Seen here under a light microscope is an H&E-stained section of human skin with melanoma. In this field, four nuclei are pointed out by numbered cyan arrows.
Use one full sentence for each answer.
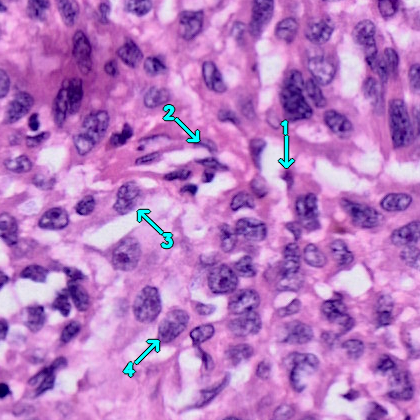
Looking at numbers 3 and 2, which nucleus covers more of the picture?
Nucleus 3 is the larger one, covering about 4 times the area of nucleus 2.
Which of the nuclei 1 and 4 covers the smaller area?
The smaller nucleus is 1, and 4 covers roughly 2.5 times its area.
